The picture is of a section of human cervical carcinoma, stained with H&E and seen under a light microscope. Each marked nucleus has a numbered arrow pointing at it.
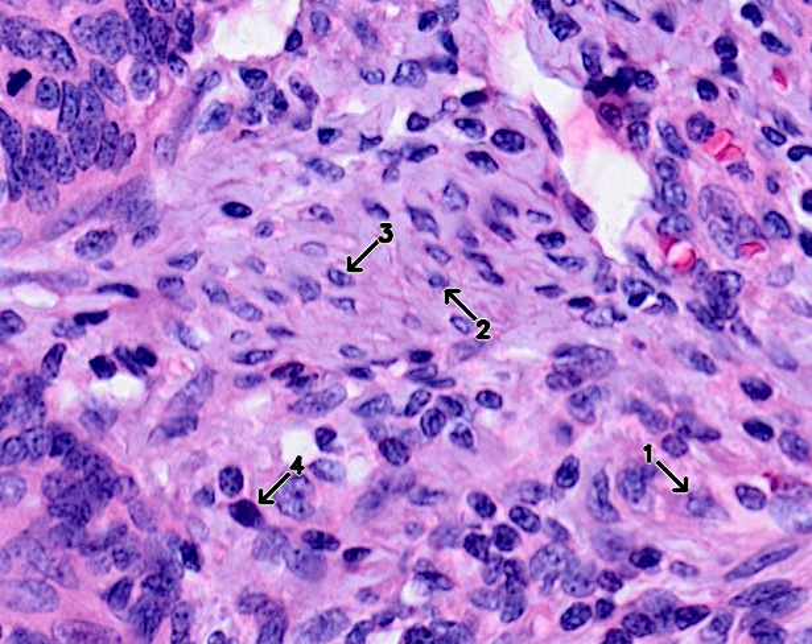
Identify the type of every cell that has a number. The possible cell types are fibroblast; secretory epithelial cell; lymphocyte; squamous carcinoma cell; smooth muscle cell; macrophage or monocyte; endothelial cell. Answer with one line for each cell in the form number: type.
1: endothelial cell
2: smooth muscle cell
3: smooth muscle cell
4: lymphocyte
